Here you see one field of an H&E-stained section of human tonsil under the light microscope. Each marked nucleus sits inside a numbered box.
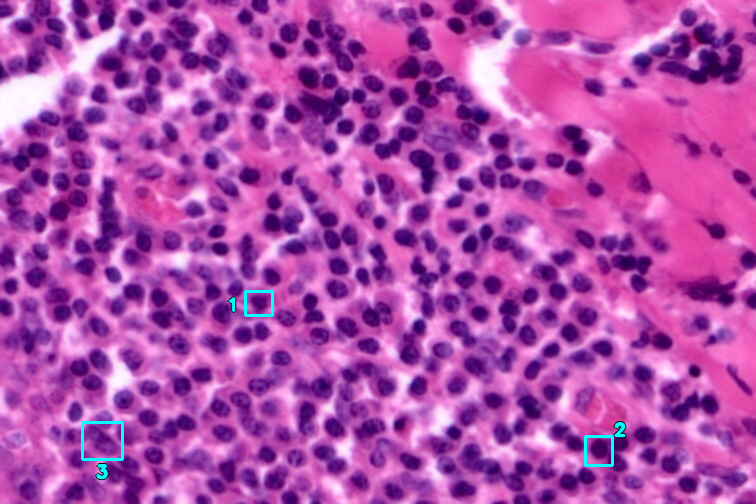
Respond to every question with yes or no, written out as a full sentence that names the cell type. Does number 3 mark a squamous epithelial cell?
Yes, the cell that bears number 3 is a squamous epithelial cell.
